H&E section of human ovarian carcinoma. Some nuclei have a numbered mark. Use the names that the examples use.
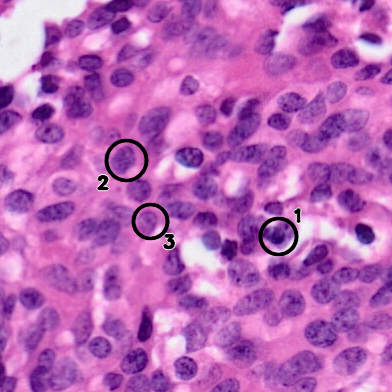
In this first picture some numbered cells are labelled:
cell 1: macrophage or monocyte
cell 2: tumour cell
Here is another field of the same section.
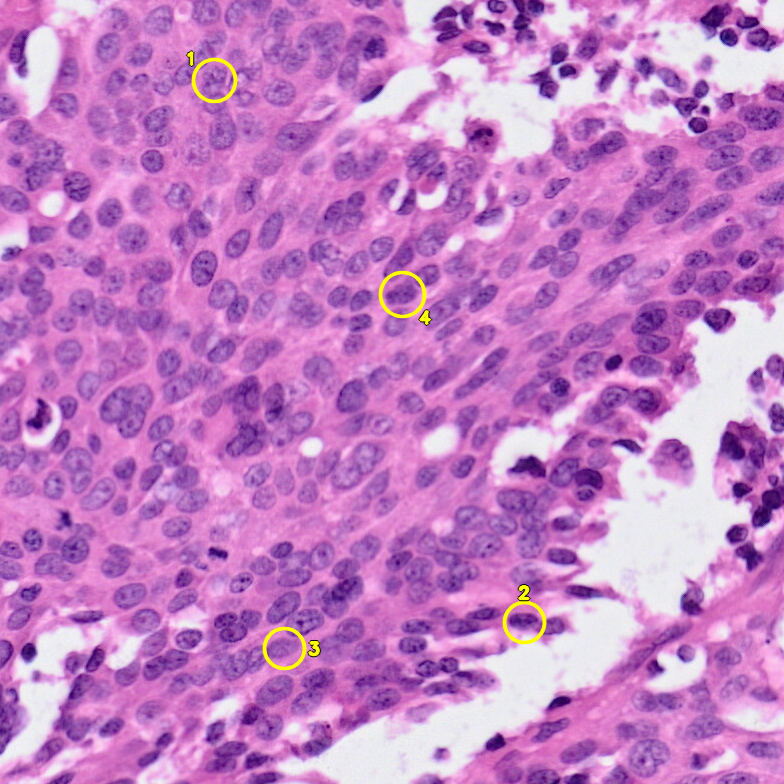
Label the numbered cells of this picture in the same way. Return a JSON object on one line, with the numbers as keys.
{"1": "tumour cell", "2": "macrophage or monocyte", "3": "tumour cell", "4": "tumour cell"}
